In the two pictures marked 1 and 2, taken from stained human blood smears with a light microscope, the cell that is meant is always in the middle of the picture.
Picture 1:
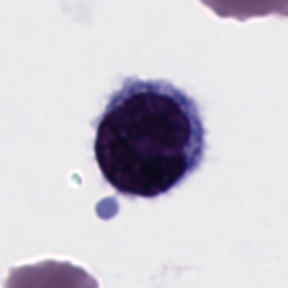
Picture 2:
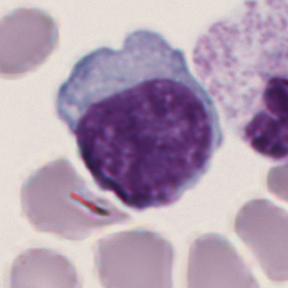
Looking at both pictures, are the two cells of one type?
no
